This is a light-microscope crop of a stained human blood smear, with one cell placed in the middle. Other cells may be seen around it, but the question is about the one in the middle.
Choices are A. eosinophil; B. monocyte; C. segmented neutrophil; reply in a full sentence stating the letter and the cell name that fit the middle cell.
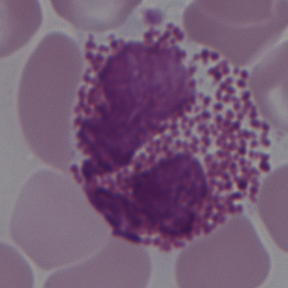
The cell placed in the middle is an eosinophil; option A is correct.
